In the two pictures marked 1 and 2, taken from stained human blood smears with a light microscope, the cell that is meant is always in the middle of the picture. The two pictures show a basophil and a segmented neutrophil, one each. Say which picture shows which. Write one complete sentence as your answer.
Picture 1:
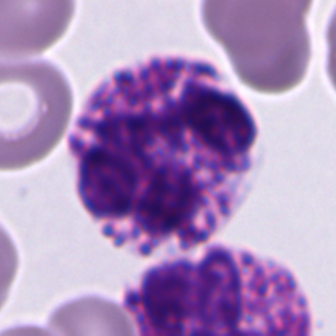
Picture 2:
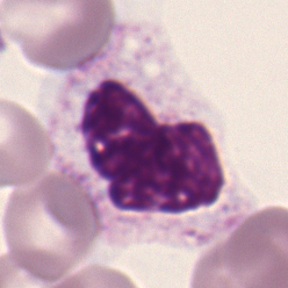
It is picture 1 that shows a basophil, and picture 2 that shows a segmented neutrophil.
